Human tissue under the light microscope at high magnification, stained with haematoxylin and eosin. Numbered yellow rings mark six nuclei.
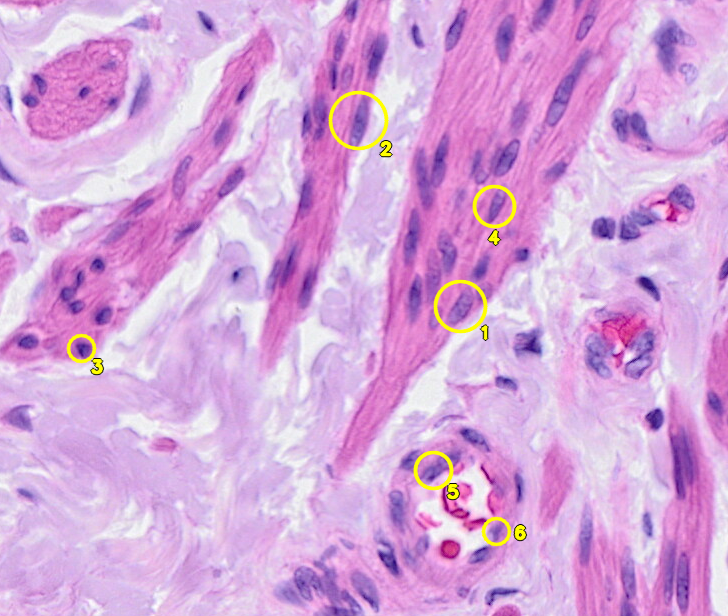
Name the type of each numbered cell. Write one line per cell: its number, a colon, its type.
1: smooth muscle cell
2: smooth muscle cell
3: smooth muscle cell
4: smooth muscle cell
5: endothelial cell
6: endothelial cell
